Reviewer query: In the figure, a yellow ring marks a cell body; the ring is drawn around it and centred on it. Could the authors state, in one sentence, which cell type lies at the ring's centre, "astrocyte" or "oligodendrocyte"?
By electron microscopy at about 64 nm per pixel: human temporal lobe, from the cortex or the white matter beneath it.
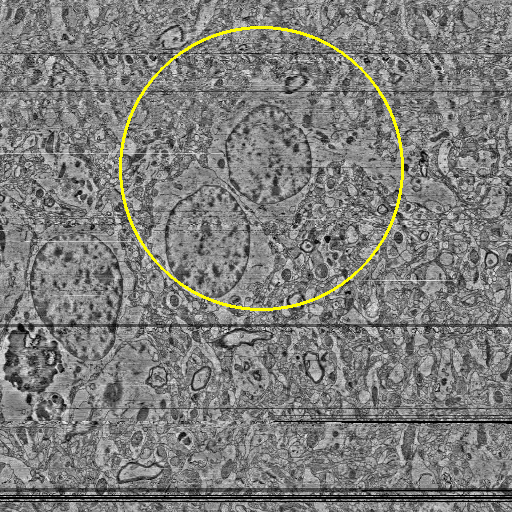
The ring is centred on an astrocyte.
